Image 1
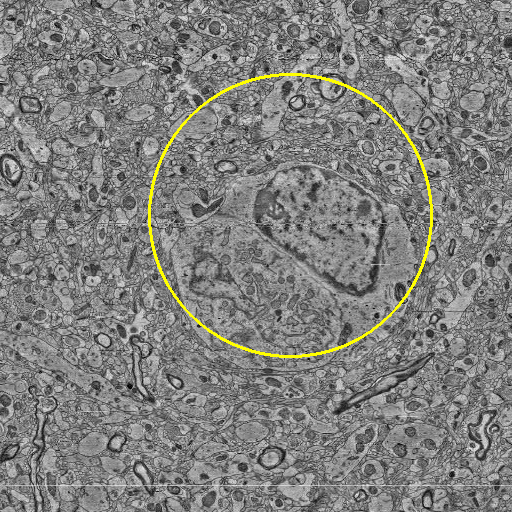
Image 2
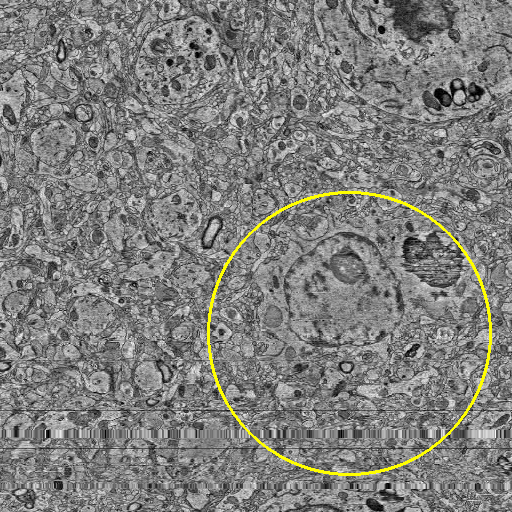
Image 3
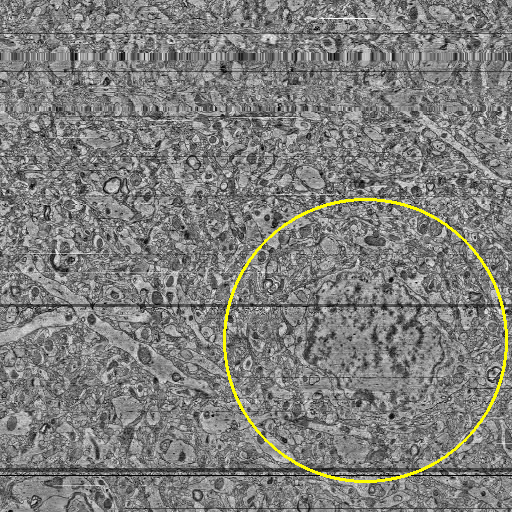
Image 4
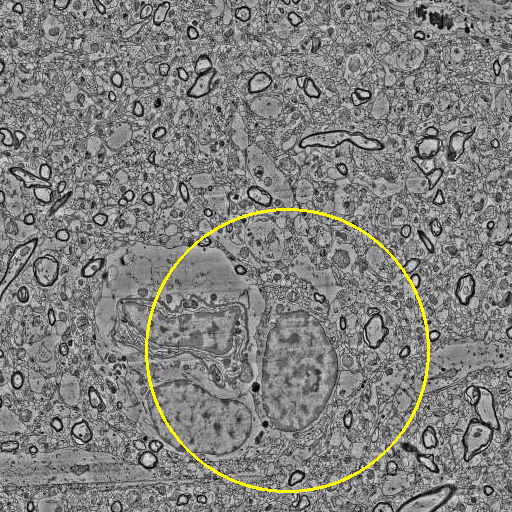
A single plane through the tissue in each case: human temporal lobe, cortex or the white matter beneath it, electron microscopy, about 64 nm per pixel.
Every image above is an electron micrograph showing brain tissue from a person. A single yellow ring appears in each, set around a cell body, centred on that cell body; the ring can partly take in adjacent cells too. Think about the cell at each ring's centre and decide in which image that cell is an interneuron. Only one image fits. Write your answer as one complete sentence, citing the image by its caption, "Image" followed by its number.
Image 3 is the one whose ringed central cell fits the description.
